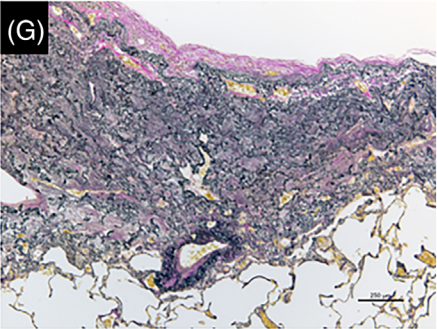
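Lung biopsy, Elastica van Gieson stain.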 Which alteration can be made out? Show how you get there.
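A broad zone beneath the pink pleural surface is filled with dense black-stained fibres. Open alveoli with thin walls remain below this zone. So: intra‐alveolar fibrosis and interstitial elastosis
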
